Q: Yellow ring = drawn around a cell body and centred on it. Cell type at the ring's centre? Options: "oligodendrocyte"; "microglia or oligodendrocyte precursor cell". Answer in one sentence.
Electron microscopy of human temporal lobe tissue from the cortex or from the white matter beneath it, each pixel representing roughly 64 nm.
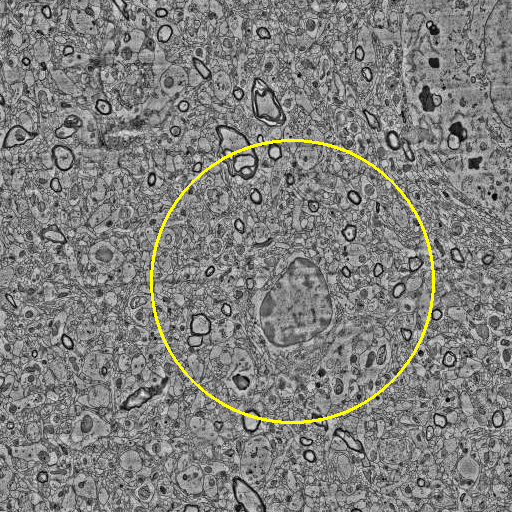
Centred in the ring is a microglial cell or oligodendrocyte precursor cell.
